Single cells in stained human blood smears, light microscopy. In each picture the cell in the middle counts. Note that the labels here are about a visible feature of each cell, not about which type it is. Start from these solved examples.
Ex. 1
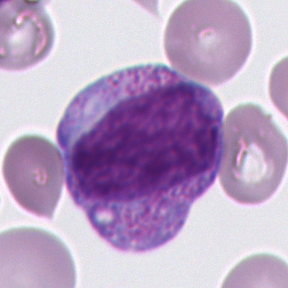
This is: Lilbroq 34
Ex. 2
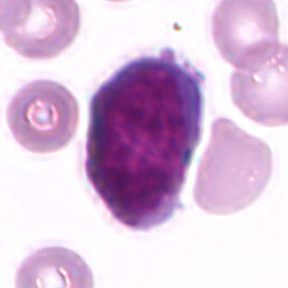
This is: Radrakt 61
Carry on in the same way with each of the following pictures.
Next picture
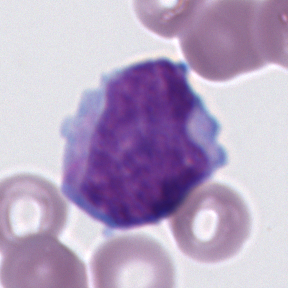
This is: Radrakt 61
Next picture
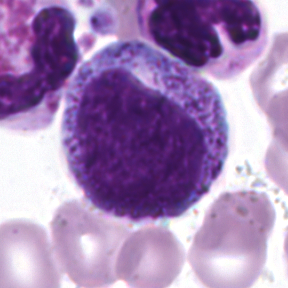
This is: Lilbroq 34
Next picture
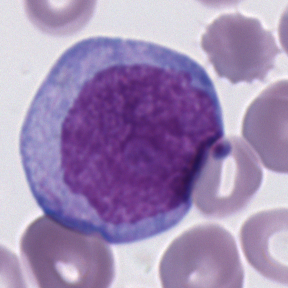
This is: Radrakt 61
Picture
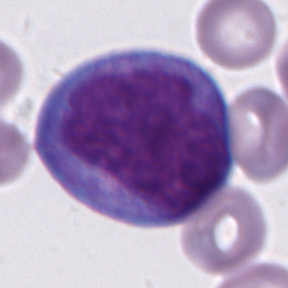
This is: Radrakt 61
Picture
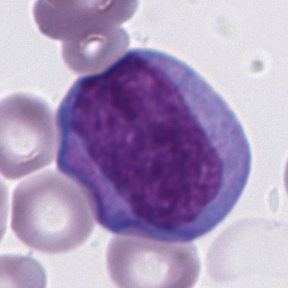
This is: Radrakt 61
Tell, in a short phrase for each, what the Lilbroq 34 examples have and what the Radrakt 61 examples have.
Seen in Lilbroq 34: many visible granules; seen in Radrakt 61: no visible granules.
